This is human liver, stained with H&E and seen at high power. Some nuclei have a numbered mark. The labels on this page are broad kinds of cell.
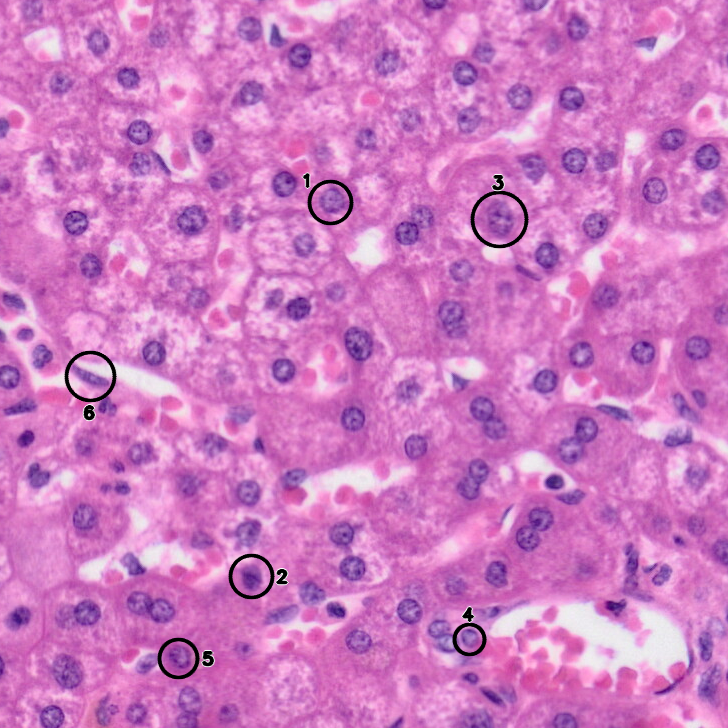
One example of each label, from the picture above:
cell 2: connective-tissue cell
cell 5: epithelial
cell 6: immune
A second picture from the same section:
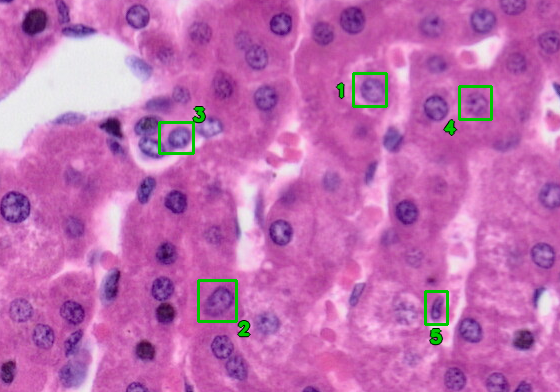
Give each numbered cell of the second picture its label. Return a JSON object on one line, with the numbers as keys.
{"1": "epithelial", "2": "epithelial", "3": "epithelial", "4": "epithelial", "5": "immune"}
